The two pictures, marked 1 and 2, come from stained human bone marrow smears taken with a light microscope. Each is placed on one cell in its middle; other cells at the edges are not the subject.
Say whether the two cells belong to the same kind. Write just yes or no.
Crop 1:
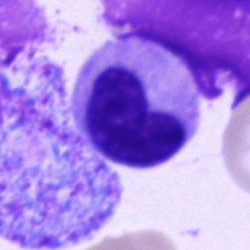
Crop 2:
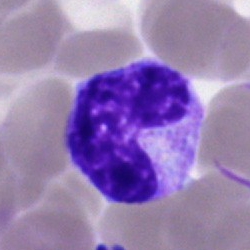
yes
